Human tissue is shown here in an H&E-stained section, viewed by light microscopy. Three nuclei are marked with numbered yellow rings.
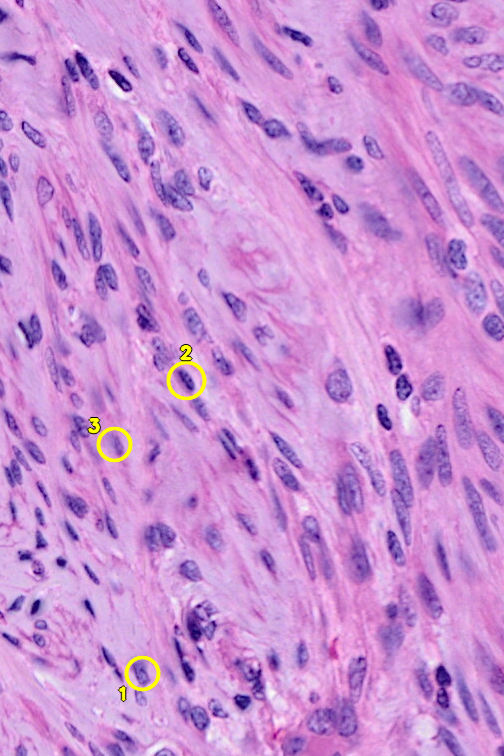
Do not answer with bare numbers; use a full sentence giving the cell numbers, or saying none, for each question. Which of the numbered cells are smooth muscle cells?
Of the cells marked with numbers, cell 3 is the only one that is a smooth muscle cell.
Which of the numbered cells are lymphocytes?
Mind that only cell 2 is a lymphocyte, none of the rest.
